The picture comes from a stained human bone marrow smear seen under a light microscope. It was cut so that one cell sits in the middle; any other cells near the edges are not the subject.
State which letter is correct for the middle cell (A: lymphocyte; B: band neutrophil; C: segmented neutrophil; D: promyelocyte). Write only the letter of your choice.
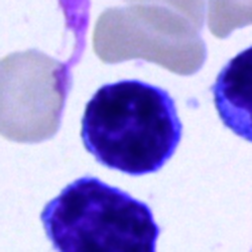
A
